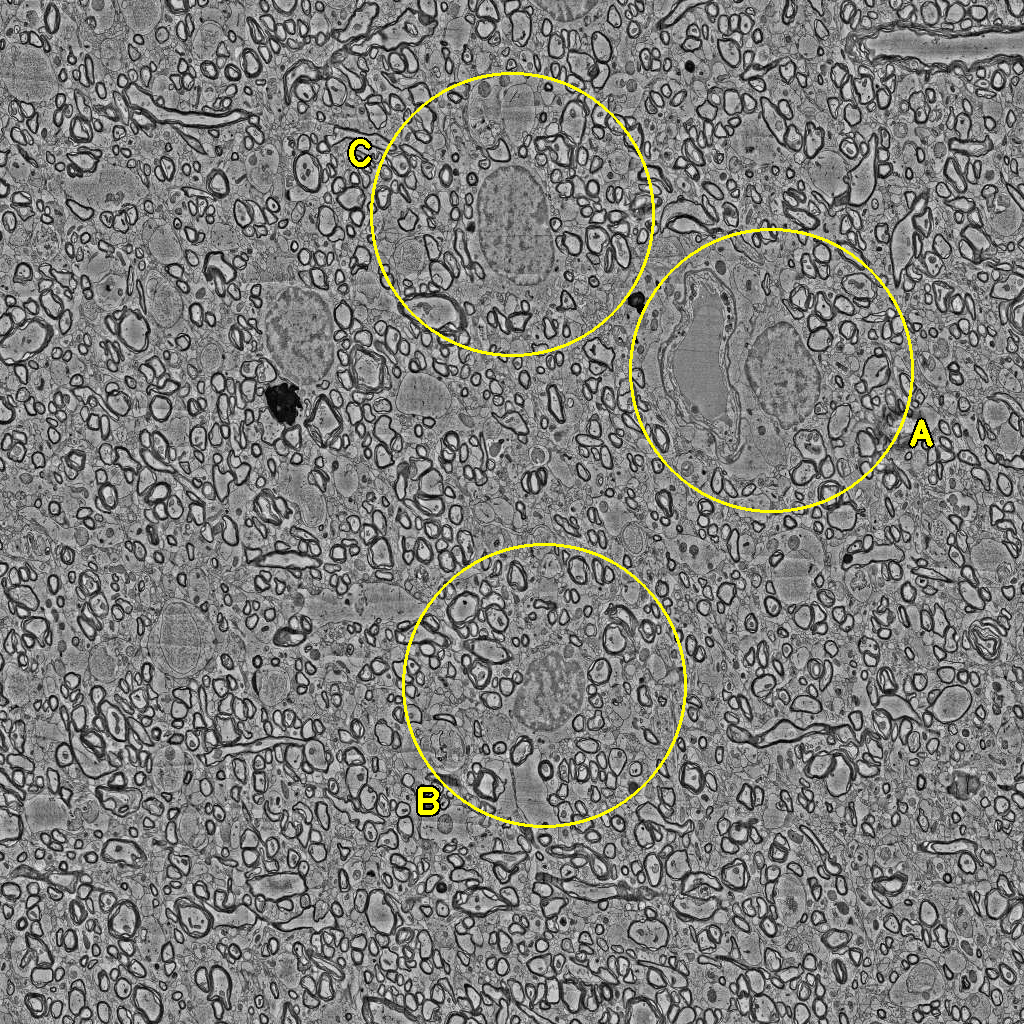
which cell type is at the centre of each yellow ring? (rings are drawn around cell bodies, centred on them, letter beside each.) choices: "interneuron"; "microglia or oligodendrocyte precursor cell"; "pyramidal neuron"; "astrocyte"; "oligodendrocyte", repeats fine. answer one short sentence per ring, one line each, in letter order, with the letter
Ring A is an oligodendrocyte.
Ring B is an oligodendrocyte.
Ring C is an oligodendrocyte.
